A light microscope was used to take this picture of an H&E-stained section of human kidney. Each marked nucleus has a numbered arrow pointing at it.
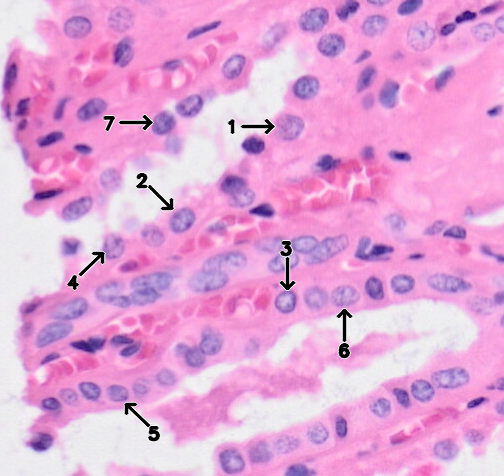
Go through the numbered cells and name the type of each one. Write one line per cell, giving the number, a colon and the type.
1: loop of Henle or distal tubule cell
2: loop of Henle or distal tubule cell
3: collecting duct cell
4: loop of Henle or distal tubule cell
5: collecting duct cell
6: collecting duct cell
7: loop of Henle or distal tubule cell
